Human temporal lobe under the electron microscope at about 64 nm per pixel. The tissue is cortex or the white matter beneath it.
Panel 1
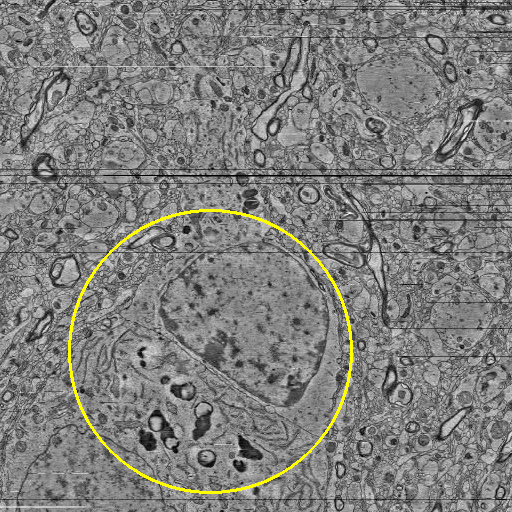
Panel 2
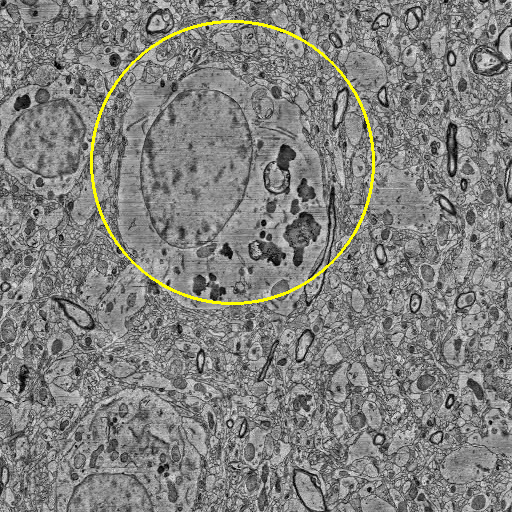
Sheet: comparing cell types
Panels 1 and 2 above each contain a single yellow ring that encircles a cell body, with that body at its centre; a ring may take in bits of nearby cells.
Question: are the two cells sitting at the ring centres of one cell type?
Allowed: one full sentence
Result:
No, the ring-centre cells in Panel 1 and Panel 2 are of two types.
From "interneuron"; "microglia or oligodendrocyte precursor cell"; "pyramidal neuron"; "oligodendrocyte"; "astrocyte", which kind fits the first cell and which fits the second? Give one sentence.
The cell marked in the first picture is a microglial cell or oligodendrocyte precursor cell, and the one marked in the second is an astrocyte.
